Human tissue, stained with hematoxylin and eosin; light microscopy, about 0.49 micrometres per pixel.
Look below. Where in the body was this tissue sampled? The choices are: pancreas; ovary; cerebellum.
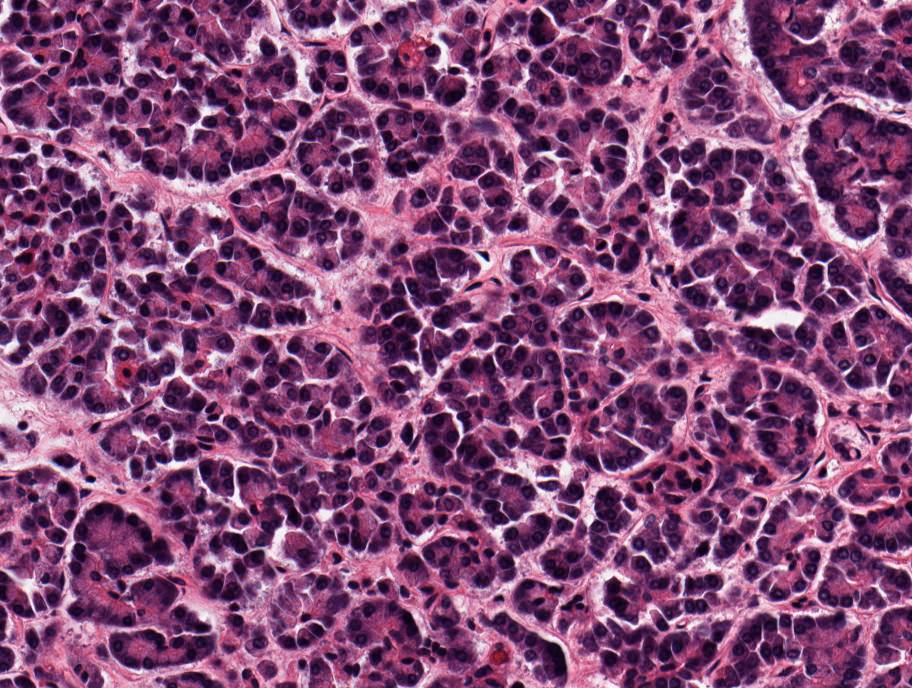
pancreas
